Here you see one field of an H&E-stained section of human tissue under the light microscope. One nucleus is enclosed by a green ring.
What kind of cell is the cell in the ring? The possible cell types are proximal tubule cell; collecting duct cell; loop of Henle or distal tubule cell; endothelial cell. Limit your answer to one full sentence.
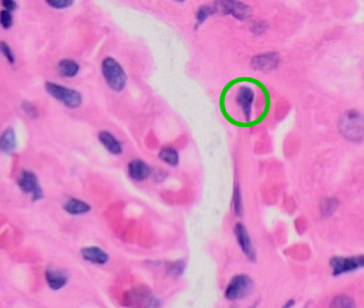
The expected answer is simply that the cell in the ring is an endothelial cell.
